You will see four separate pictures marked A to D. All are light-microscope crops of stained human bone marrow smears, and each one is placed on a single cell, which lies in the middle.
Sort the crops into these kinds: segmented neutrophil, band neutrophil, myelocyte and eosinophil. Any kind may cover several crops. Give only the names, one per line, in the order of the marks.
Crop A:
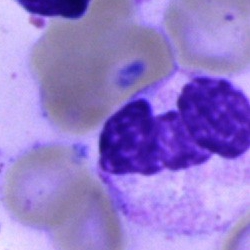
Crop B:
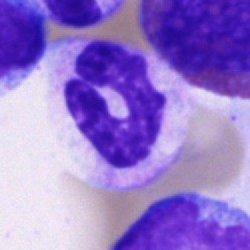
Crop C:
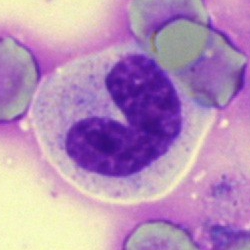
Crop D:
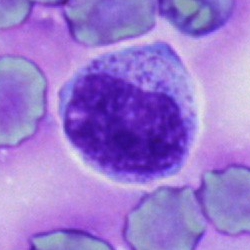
segmented neutrophil
band neutrophil
band neutrophil
myelocyte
